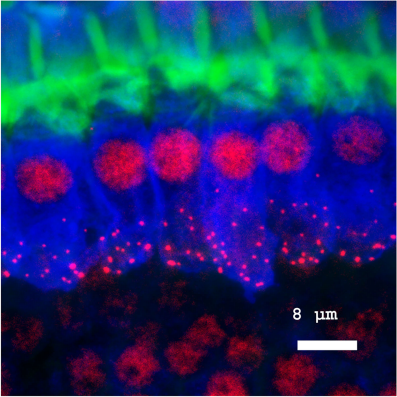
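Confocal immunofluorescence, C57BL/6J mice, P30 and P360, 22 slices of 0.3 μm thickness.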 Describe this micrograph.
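This is a row of inner hair cells of the cochlea seen in a flattened whole-mount reconstruction. Below the row of hair cells, out of focus, lie further red round nuclei of neighbouring cells.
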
